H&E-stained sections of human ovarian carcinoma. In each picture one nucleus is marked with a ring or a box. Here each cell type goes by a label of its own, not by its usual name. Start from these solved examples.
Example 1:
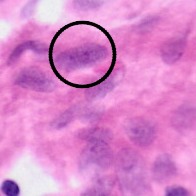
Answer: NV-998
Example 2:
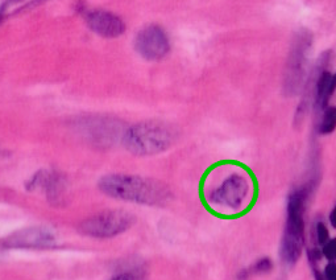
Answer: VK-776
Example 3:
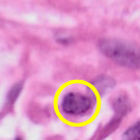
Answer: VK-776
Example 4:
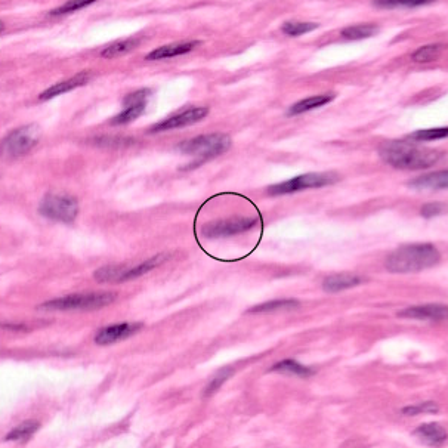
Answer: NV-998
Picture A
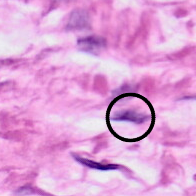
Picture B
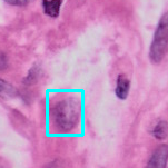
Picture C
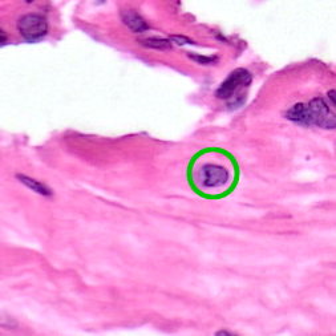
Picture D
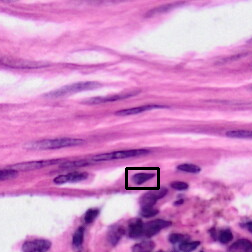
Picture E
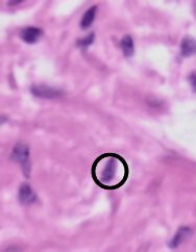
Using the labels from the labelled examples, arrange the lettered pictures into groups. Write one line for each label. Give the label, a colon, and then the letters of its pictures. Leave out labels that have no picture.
NV-998: A, B, E
VK-776: C, D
